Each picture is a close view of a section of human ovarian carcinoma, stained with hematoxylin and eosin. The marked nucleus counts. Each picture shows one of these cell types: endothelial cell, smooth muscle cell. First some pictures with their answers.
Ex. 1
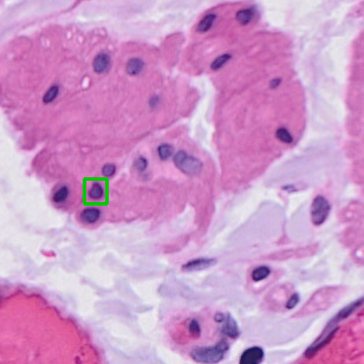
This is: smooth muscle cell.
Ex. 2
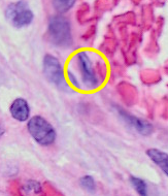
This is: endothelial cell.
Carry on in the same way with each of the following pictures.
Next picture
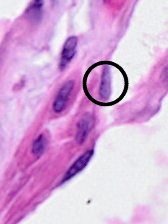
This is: endothelial cell.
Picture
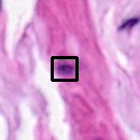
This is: smooth muscle cell.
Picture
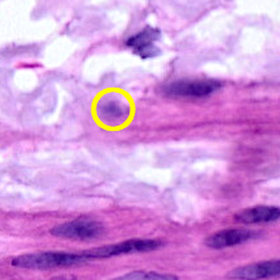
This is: smooth muscle cell.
